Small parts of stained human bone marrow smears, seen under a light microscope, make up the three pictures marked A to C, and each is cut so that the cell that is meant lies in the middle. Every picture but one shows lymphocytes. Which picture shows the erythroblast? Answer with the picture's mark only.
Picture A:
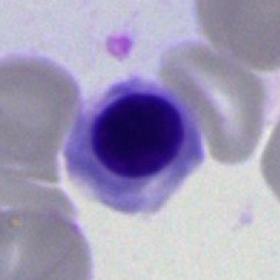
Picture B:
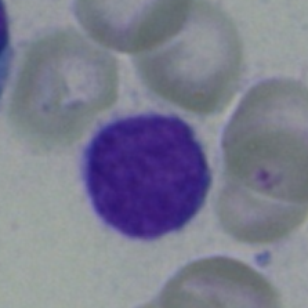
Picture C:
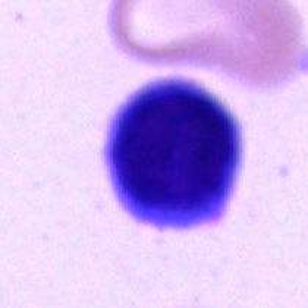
A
